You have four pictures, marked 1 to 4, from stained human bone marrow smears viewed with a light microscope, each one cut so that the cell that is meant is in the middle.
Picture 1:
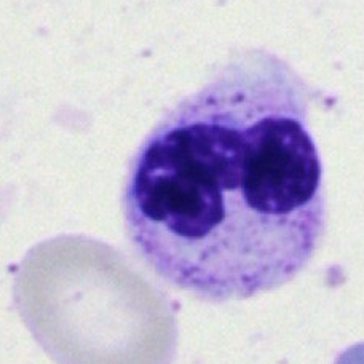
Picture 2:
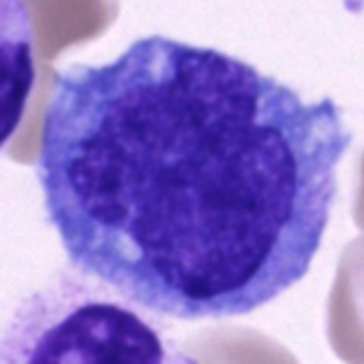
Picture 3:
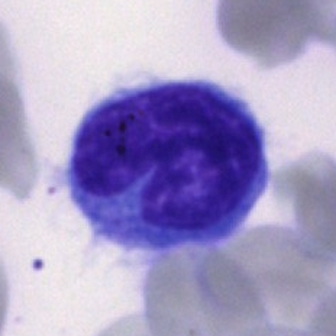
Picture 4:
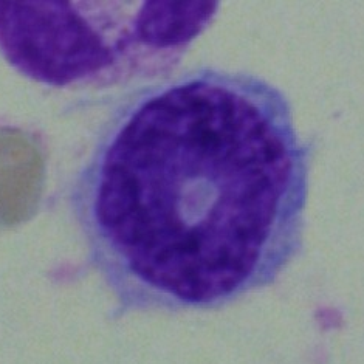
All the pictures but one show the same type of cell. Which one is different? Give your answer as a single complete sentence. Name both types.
The different one is picture 1; it shows a segmented neutrophil, whereas all the others show monocytes.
